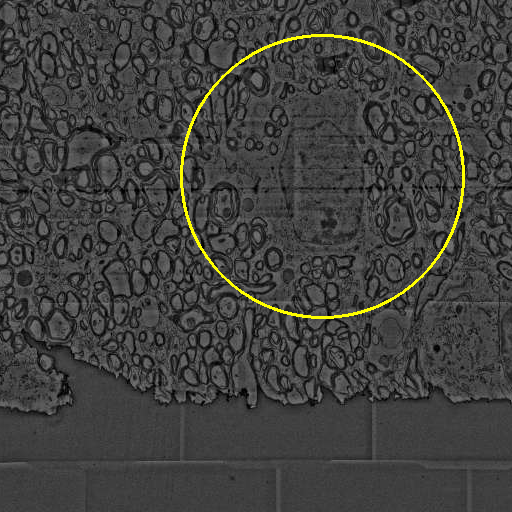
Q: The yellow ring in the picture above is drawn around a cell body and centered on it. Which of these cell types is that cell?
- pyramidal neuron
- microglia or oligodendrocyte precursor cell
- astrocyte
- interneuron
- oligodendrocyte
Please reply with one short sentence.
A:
The cell body at the ring's center belongs to an astrocyte.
